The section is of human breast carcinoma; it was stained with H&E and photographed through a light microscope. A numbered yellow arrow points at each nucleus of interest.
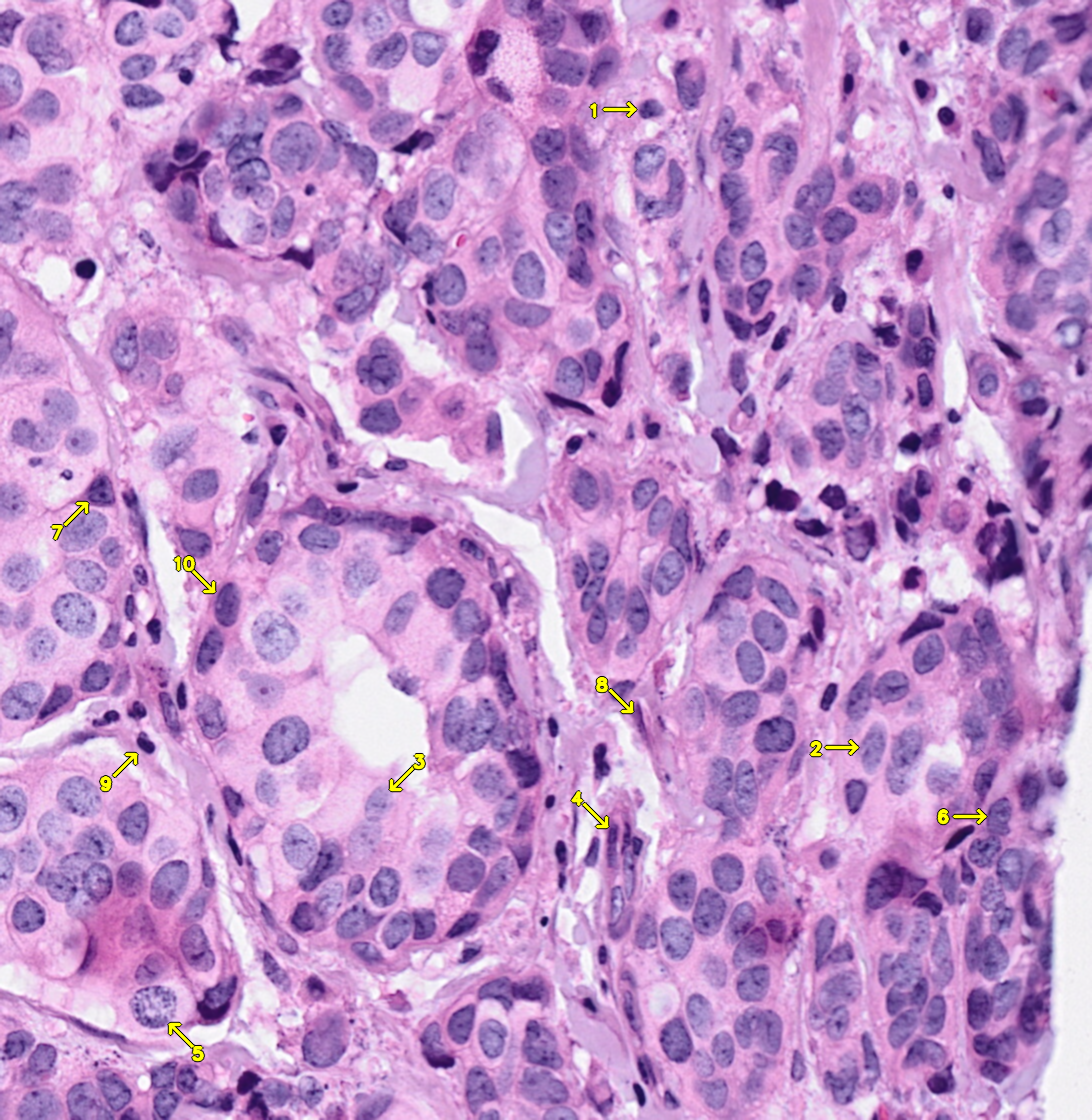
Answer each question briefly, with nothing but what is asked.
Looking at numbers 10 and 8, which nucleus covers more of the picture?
10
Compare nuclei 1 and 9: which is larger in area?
1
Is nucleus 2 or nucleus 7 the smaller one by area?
7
